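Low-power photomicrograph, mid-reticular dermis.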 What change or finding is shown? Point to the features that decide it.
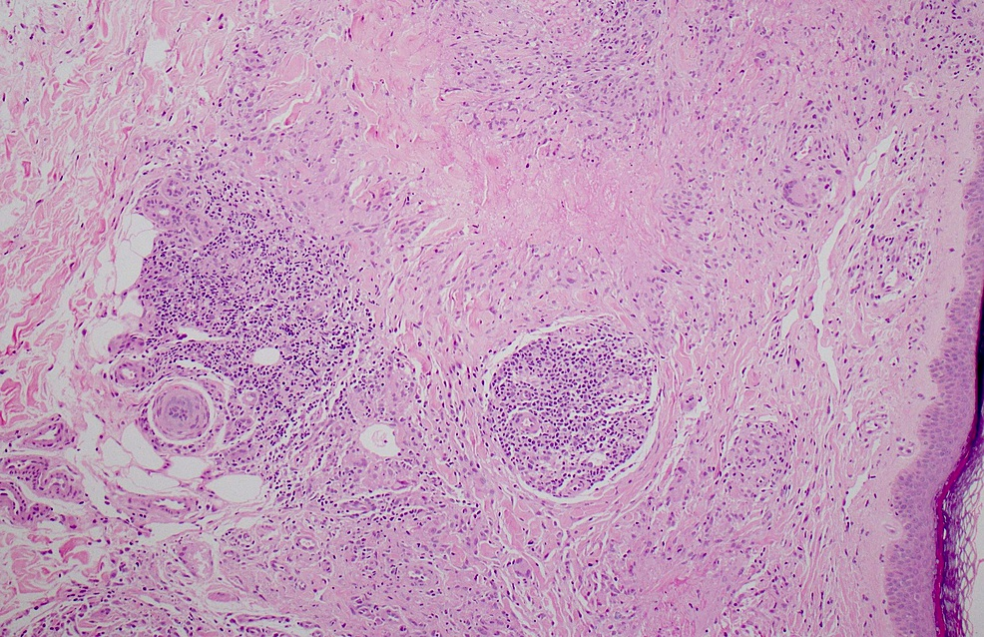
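A central zone of pale pink, smudged collagen with few nuclei sits in the upper middle of the dermis. Dense clusters of small dark-nucleated inflammatory cells lie nearby in the dermis. So: palisading granulomatous inflammation with central necrobiosis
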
